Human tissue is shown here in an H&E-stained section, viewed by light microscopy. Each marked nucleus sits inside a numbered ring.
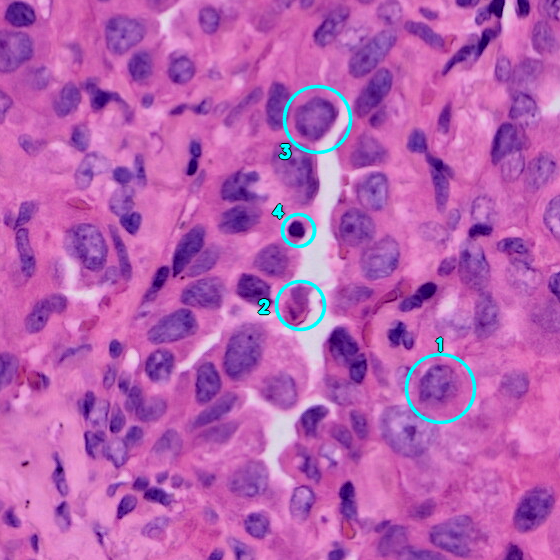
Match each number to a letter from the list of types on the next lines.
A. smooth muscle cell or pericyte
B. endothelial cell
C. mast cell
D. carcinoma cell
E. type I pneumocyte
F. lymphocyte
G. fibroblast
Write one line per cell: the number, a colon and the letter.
1: D
2: D
3: D
4: F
